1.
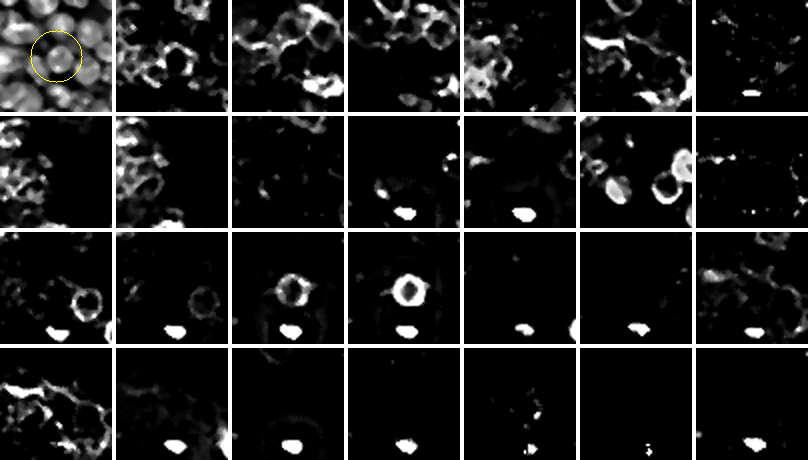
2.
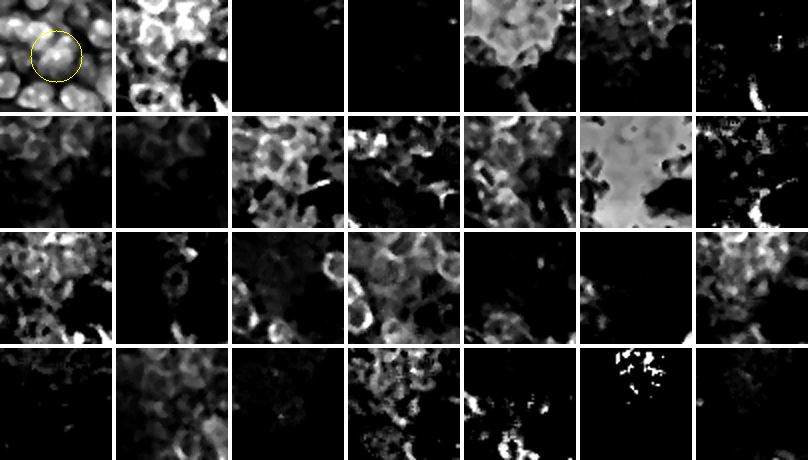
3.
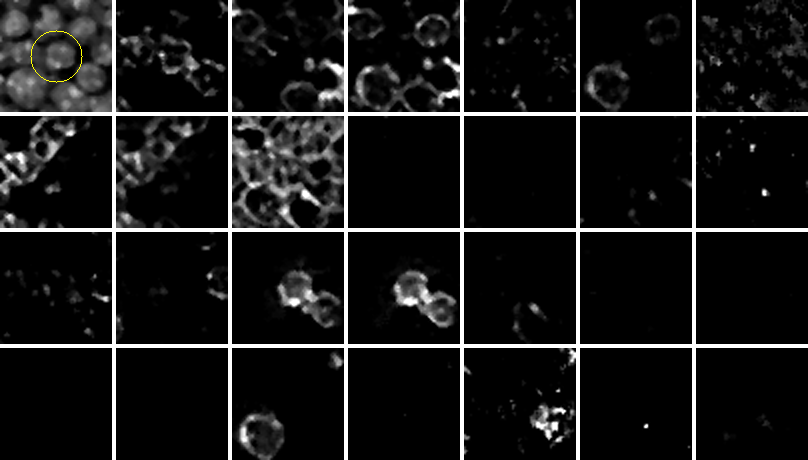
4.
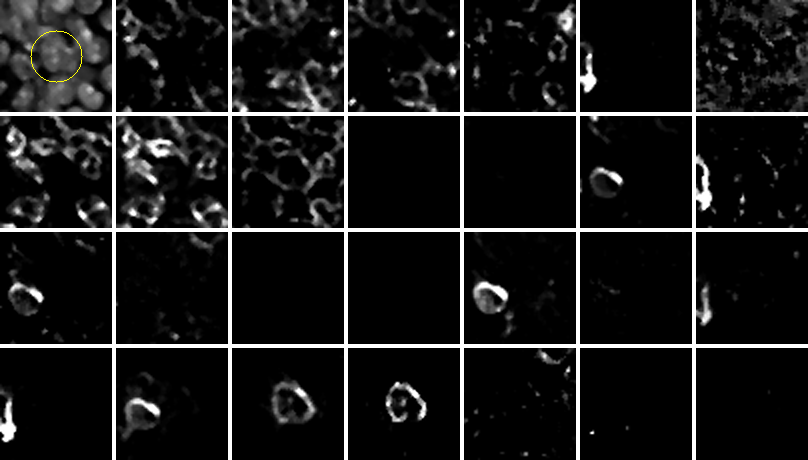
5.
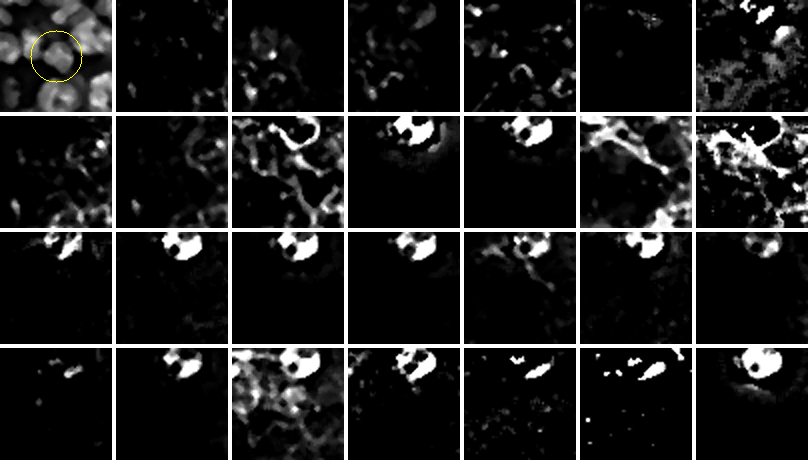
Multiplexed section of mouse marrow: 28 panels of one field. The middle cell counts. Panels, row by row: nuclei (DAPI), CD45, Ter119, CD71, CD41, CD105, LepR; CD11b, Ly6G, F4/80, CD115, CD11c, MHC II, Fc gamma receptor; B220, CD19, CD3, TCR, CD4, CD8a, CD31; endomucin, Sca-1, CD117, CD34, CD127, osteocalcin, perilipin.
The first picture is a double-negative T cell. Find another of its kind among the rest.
Picture 3.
